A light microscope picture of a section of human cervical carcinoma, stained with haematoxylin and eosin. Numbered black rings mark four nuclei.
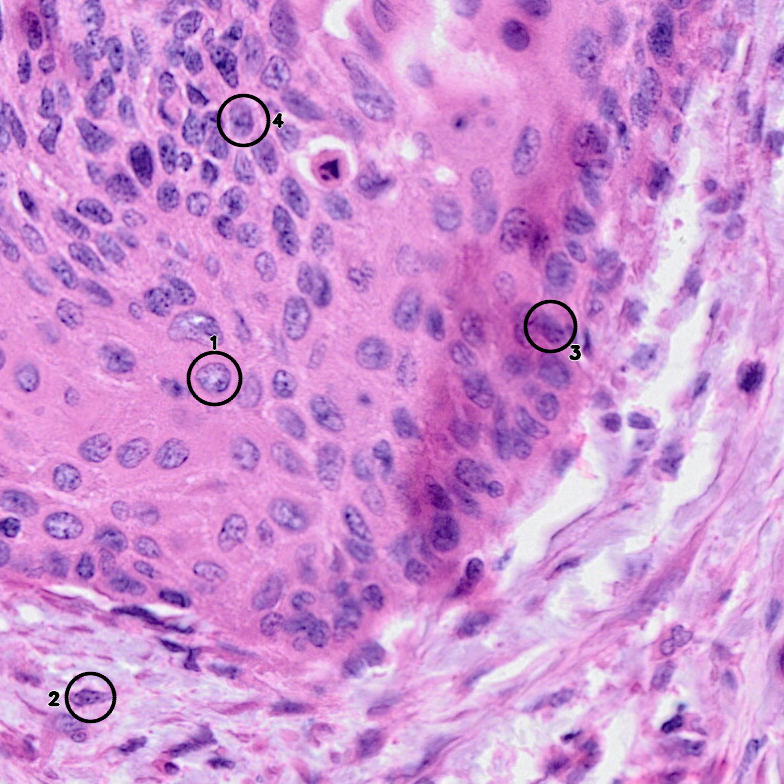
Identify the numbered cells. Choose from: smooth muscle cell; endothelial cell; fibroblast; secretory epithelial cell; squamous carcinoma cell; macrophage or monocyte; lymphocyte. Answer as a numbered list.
1. squamous carcinoma cell
2. macrophage or monocyte
3. squamous carcinoma cell
4. squamous carcinoma cell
